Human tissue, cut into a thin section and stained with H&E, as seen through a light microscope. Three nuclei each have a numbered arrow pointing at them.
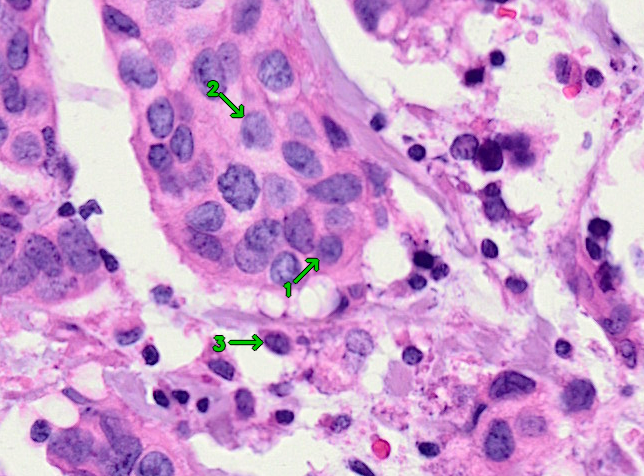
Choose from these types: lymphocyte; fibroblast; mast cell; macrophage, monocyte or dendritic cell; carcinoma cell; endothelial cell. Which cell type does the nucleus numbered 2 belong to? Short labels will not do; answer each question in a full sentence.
The cell identified by the number 2 is a carcinoma cell.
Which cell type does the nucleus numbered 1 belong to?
The cell that bears the number 1 is a carcinoma cell.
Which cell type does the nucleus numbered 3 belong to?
The cell that goes by number 3 is a macrophage, monocyte or dendritic cell.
